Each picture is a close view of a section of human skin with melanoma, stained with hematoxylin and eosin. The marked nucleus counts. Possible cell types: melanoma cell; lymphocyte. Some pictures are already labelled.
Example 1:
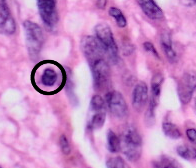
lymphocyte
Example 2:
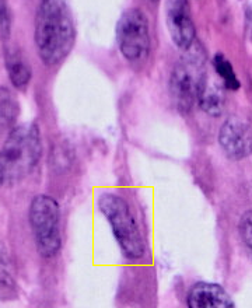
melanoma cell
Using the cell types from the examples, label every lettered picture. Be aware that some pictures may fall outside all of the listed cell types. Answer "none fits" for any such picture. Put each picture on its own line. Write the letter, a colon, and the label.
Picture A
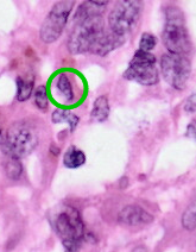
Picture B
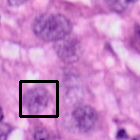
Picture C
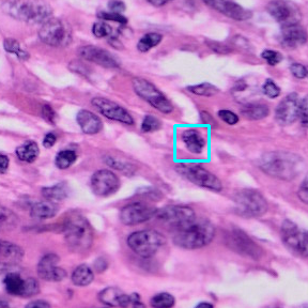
A: none fits
B: melanoma cell
C: lymphocyte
